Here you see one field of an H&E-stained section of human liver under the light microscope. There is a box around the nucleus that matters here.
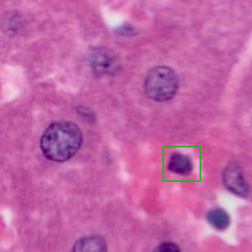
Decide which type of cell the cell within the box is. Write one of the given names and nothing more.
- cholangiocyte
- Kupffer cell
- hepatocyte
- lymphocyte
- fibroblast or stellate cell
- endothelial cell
lymphocyte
